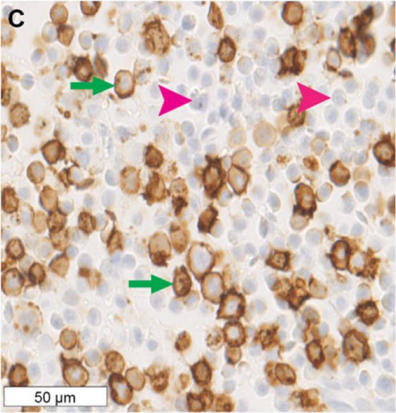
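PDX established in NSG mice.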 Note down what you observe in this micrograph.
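Numerous round, separate cells with a thick brown ring at the cell border are scattered densely through the field. Their nuclei are round and sit within a thin rim of stained cytoplasm. Between them are pale cells with blue nuclei and no brown rim.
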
